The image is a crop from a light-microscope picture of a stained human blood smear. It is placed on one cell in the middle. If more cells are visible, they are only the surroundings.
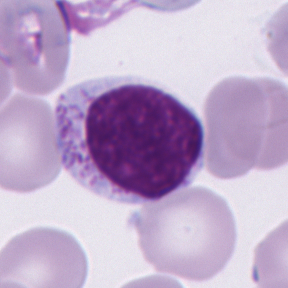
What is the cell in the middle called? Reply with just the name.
large granular lymphocyte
